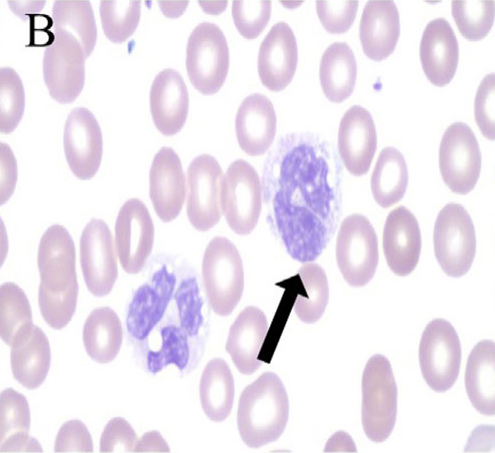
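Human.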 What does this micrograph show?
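A blood film with two neutrophils lying among pale pink red blood cells with clear centres. Each white cell is roughly twice the width of a red cell. Their nuclei are light purple with a mottled chromatin pattern and are indented or divided into a few lobes rather than many. The cytoplasm around the nuclei is pale and almost clear, with little visible granularity, giving the cells a washed-out look.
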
